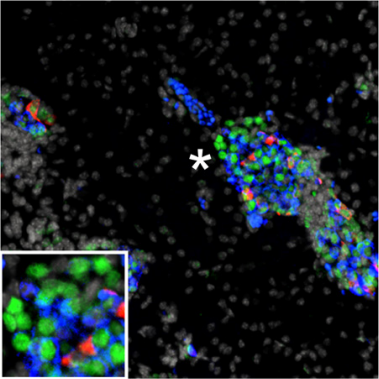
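Smaller groups of blue and red cells appear at the upper left and along the lower right. The inset enlarges part of the cluster, showing green nuclei beside blue cell bodies and scattered red cells.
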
